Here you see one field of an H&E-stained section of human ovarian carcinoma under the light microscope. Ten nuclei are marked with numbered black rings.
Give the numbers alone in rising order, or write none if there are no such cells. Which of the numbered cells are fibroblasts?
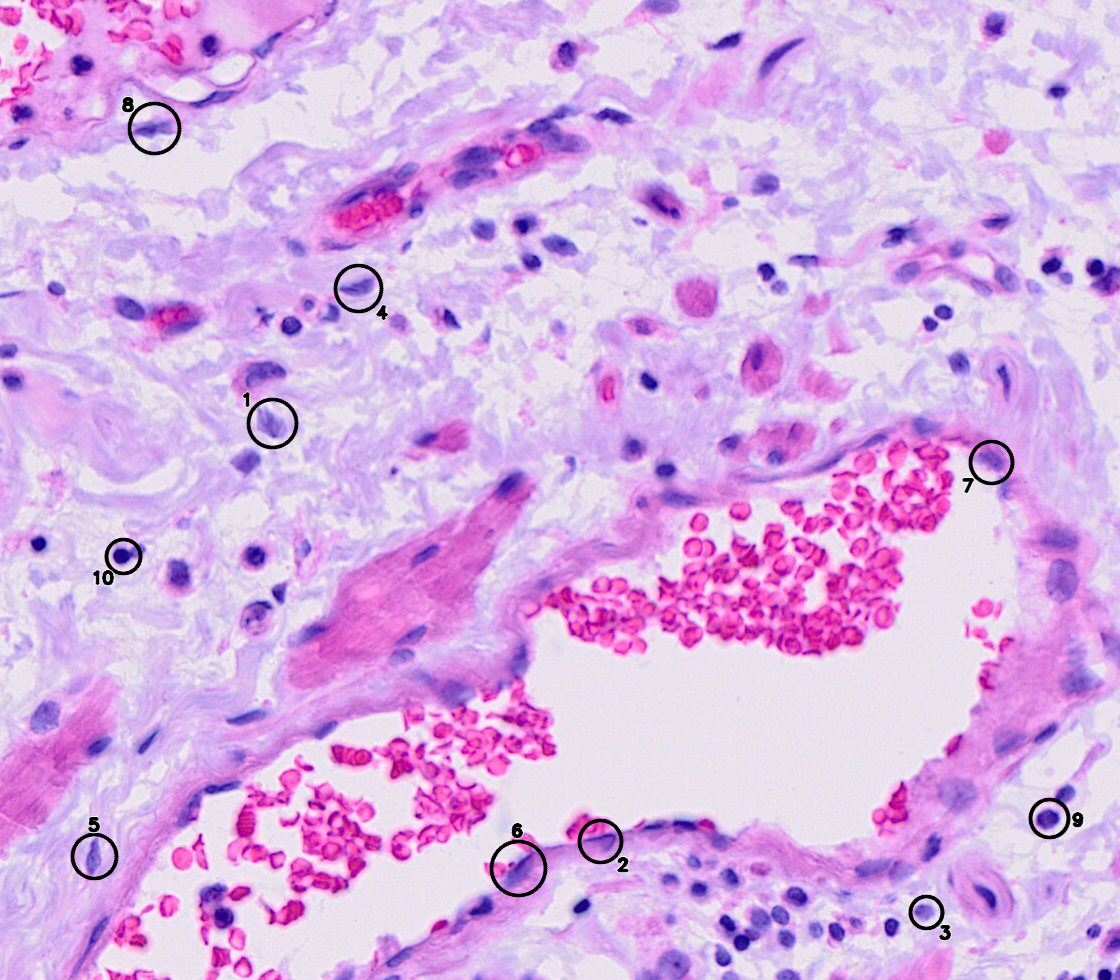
1, 4, 5, 8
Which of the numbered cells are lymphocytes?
3, 9, 10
